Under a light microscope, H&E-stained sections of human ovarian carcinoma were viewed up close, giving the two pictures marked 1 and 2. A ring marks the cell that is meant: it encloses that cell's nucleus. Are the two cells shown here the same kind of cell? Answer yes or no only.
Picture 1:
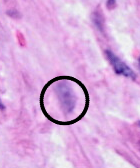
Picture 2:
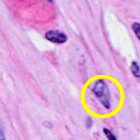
yes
